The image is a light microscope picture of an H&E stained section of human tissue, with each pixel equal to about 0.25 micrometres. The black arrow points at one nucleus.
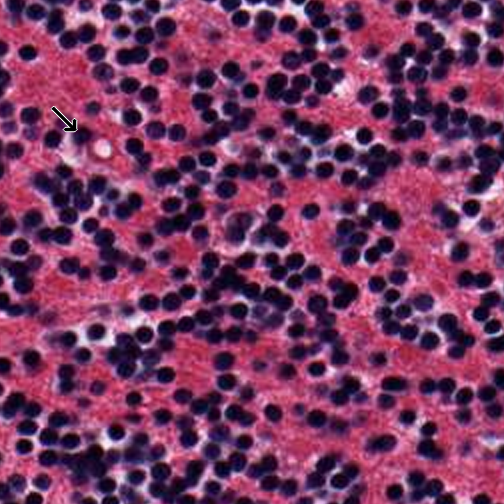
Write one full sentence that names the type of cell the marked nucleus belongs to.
It is to a cerebellar granule cell that the marked nucleus belongs.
